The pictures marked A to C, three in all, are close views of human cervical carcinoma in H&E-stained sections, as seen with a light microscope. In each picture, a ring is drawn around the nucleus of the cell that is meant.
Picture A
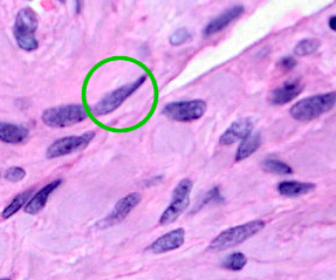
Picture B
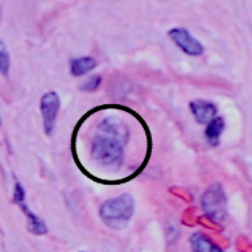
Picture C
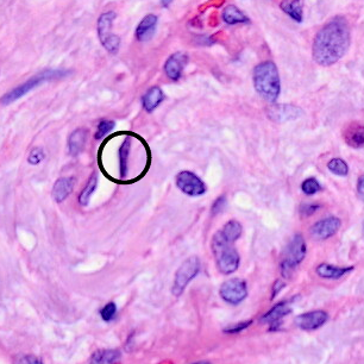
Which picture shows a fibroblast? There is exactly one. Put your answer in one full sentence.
The fibroblast is the one in picture A.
